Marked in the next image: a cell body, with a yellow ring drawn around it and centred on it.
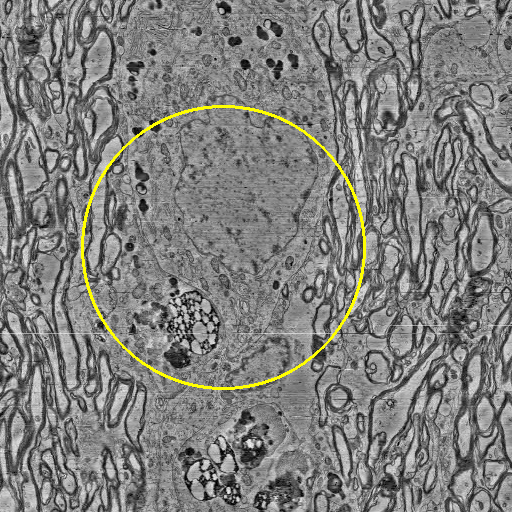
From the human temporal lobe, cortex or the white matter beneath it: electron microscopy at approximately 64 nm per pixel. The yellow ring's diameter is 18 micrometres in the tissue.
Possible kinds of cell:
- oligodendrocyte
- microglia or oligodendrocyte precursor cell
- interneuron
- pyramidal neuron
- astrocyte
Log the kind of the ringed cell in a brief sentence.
The ringed cell body is that of an interneuron.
